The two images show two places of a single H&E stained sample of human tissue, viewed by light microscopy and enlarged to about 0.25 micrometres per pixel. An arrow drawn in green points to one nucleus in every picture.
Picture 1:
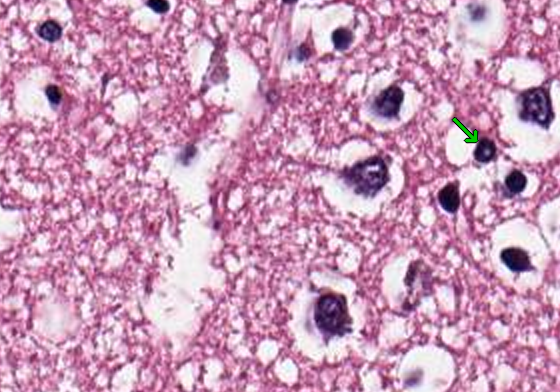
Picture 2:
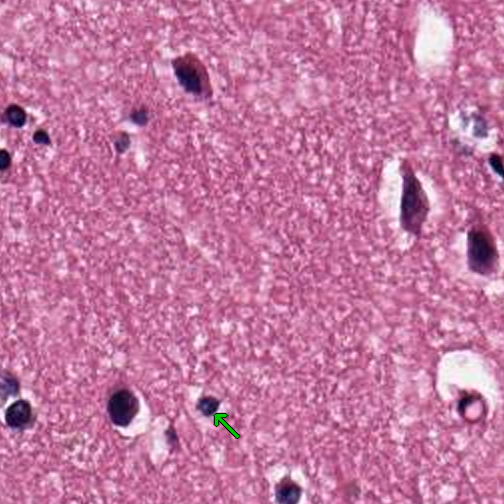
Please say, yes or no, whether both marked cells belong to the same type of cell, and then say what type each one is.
Yes, both are oligodendrocytes.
